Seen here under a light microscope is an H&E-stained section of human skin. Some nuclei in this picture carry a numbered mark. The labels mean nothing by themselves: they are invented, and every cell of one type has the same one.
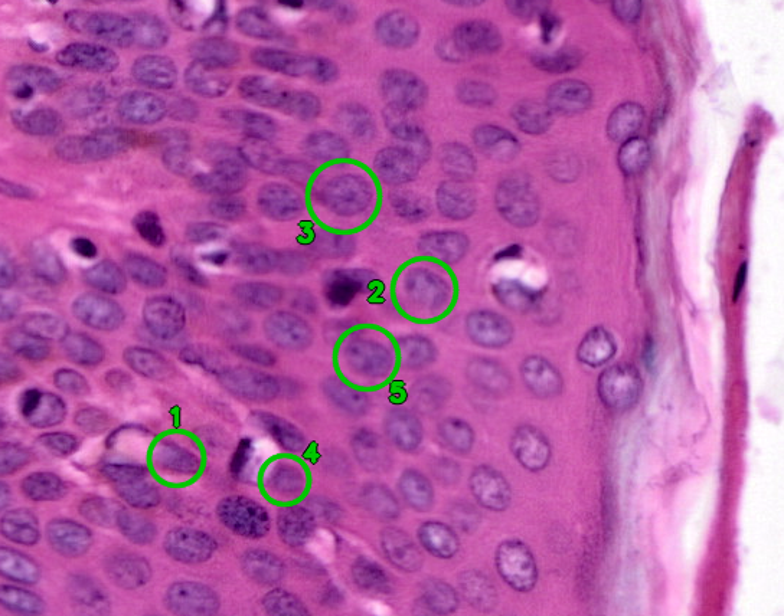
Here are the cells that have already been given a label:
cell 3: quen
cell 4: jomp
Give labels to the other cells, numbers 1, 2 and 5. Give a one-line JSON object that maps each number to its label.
{"1": "jomp", "2": "quen", "5": "quen"}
